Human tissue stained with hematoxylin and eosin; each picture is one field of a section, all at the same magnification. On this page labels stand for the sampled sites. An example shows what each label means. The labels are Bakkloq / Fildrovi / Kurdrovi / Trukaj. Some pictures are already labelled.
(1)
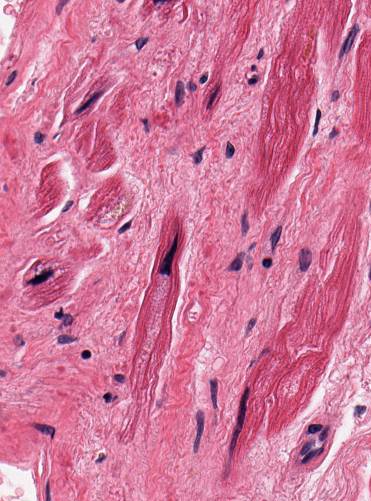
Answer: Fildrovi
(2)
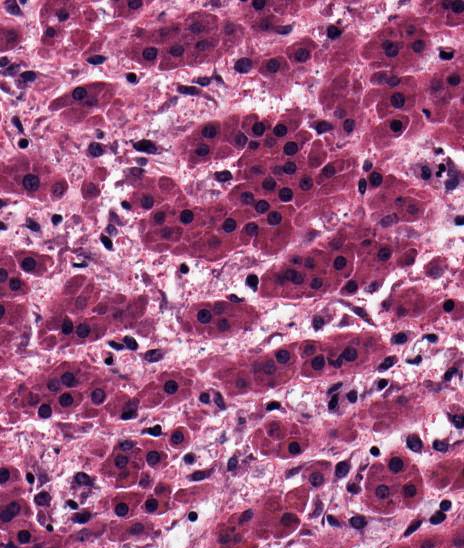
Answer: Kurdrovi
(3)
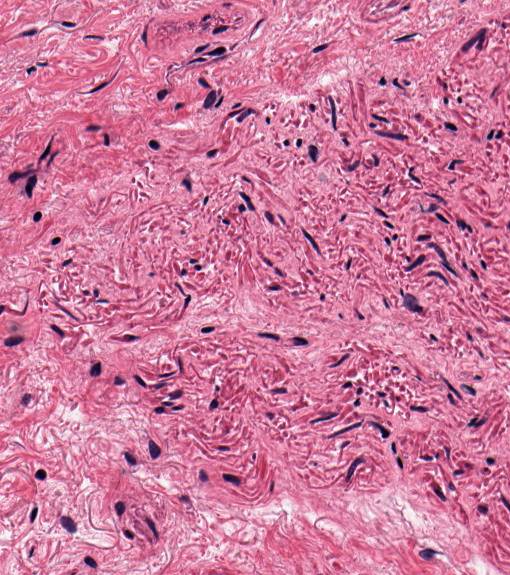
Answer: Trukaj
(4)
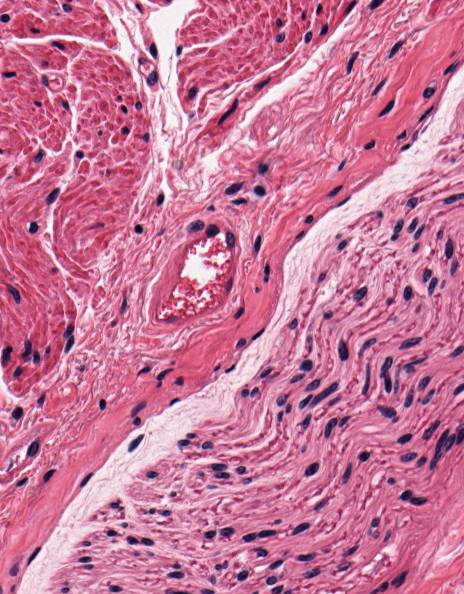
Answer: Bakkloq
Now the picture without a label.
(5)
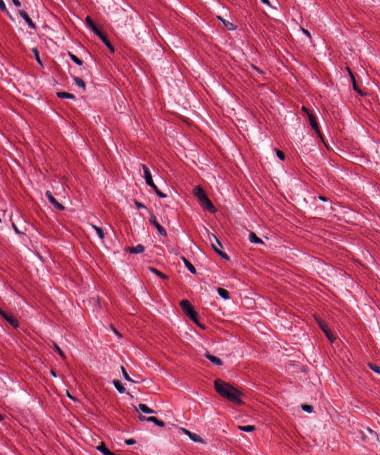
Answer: Fildrovi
